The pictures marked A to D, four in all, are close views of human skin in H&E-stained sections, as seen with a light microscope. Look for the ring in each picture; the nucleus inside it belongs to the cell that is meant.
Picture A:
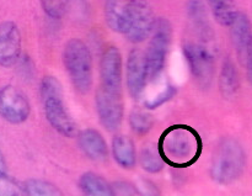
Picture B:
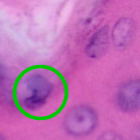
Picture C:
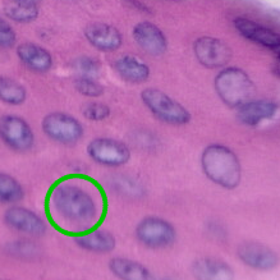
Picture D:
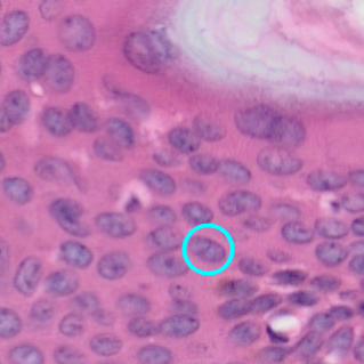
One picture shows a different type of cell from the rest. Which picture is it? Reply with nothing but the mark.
A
